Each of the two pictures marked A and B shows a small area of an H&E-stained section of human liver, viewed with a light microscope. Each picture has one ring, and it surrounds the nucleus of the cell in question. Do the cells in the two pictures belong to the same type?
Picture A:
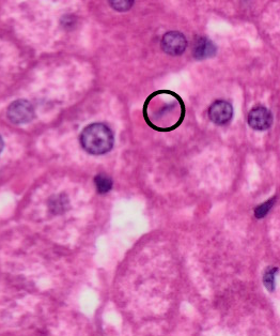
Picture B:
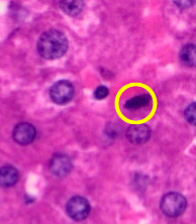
no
